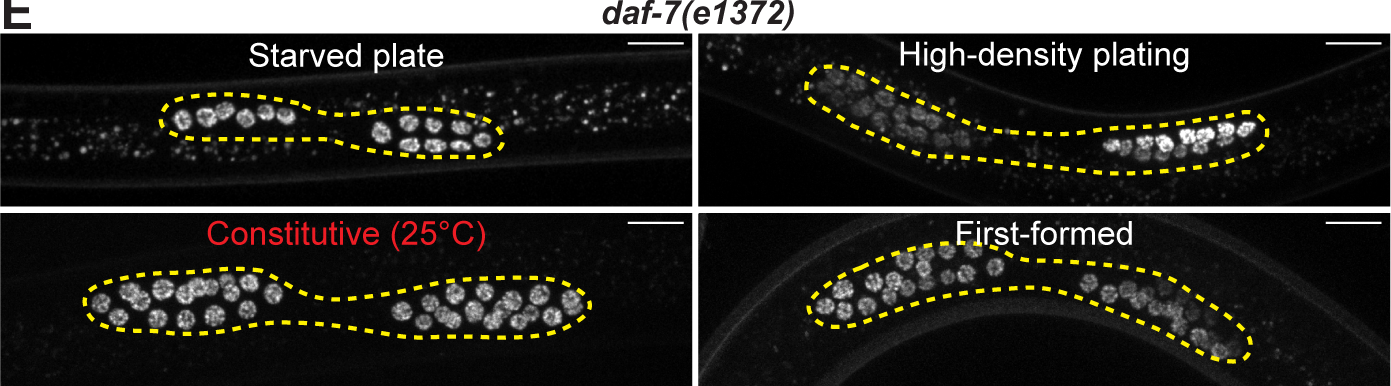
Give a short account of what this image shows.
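The gonad is an elongated organ with two lobes, and within it lie closely packed, round germ cell nuclei with a granular texture. Some gonads are small and hold only a handful of nuclei per lobe, whereas others are larger and contain many crowded nuclei.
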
